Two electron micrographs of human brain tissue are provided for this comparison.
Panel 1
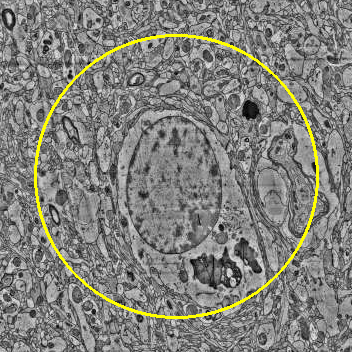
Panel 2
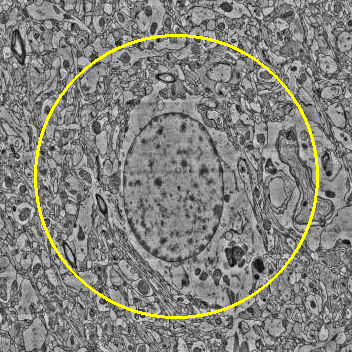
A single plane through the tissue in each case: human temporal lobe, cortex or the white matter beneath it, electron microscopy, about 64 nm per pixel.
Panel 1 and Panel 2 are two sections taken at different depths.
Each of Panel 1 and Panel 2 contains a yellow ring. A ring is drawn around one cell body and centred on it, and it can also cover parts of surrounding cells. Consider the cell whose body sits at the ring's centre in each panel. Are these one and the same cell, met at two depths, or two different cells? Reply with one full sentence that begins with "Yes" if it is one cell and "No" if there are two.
Yes, one cell appears twice, once in each ring.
